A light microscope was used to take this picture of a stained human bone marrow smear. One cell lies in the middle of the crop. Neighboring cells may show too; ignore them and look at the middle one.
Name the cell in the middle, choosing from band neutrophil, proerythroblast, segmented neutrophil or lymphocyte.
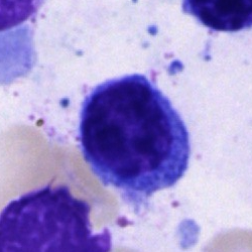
lymphocyte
